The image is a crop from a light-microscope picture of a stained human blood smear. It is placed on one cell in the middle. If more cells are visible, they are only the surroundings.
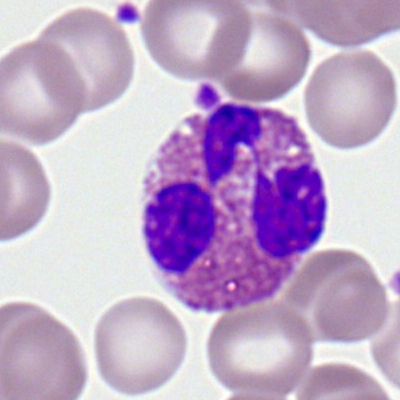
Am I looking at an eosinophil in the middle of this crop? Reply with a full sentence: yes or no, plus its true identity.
Yes, the middle cell is classified as an eosinophil.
